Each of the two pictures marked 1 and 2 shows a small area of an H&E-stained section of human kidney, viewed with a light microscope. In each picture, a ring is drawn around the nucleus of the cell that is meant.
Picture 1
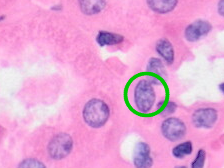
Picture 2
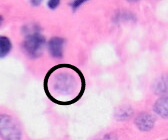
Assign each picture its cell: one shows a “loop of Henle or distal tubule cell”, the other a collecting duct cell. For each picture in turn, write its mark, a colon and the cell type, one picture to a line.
1: collecting duct cell
2: loop of Henle or distal tubule cell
